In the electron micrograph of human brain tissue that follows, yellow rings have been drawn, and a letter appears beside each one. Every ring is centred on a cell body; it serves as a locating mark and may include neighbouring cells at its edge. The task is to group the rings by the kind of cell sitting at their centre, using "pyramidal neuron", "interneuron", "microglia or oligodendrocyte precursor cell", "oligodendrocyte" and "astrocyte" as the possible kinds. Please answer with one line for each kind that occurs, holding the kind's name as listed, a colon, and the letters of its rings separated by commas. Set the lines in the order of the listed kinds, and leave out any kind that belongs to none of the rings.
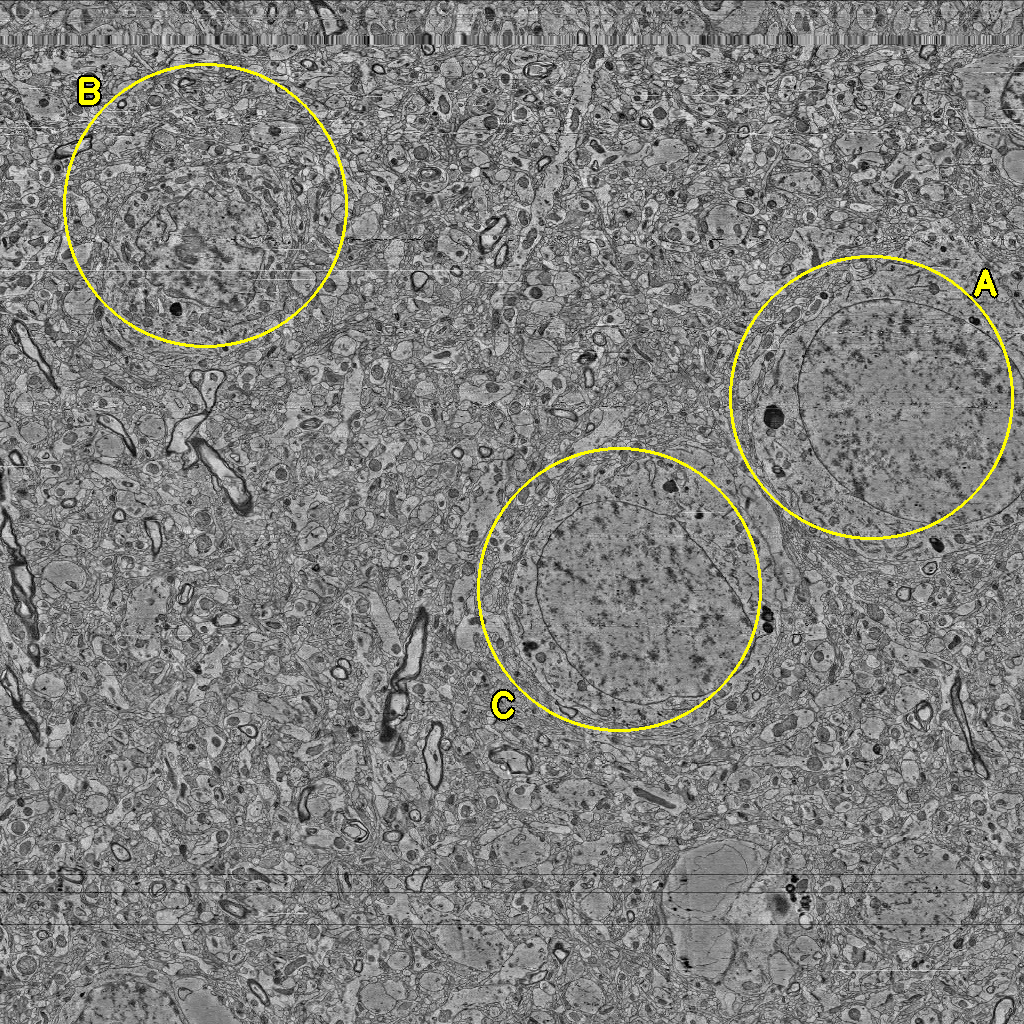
pyramidal neuron: A, C
interneuron: B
